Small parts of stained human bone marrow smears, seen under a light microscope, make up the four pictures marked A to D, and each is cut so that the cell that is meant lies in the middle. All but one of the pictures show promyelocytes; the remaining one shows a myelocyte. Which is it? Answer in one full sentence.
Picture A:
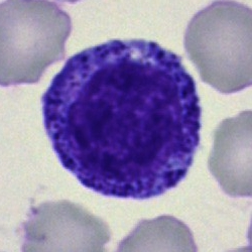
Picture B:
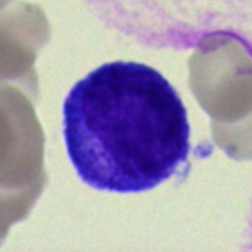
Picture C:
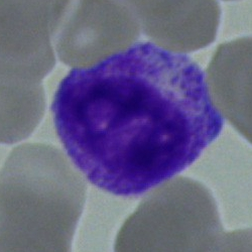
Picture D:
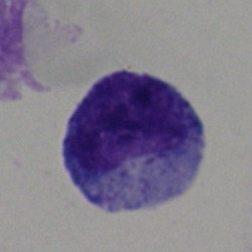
The myelocyte is the one in picture C.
